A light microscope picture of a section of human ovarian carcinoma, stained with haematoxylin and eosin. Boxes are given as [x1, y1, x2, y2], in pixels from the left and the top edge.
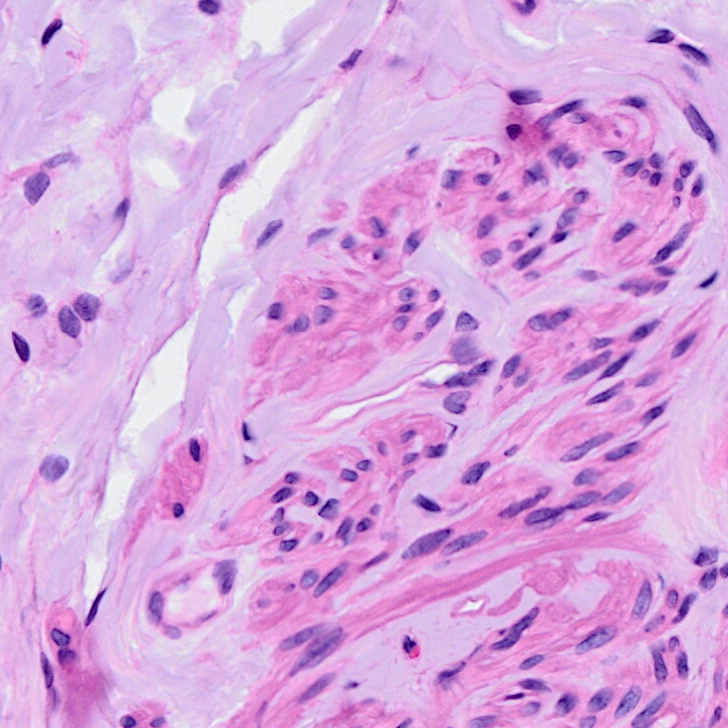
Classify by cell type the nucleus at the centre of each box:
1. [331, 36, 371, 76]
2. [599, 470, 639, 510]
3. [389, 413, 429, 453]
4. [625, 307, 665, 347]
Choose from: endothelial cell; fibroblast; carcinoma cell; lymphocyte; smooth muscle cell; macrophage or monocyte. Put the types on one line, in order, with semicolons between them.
fibroblast; smooth muscle cell; smooth muscle cell; smooth muscle cell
